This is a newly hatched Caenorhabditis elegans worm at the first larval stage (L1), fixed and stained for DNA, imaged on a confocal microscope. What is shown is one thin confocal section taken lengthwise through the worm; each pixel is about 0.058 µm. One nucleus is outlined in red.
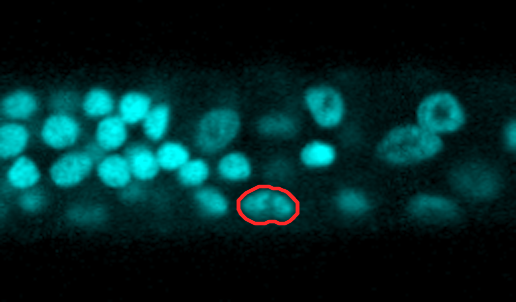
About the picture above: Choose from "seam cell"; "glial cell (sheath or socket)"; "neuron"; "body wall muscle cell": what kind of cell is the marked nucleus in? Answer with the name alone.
body wall muscle cell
